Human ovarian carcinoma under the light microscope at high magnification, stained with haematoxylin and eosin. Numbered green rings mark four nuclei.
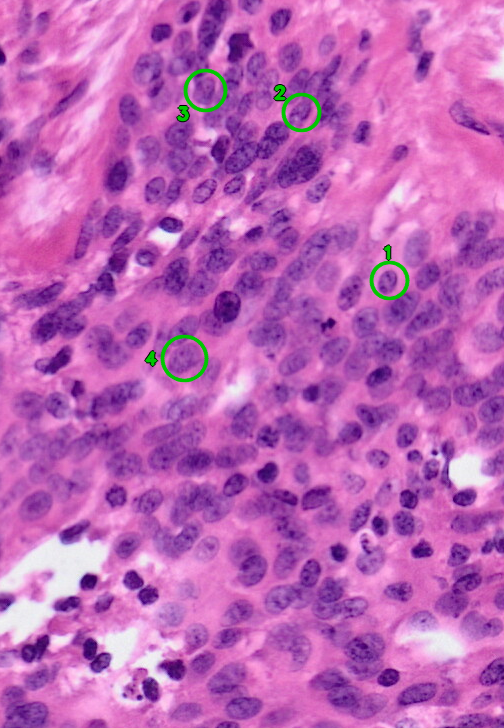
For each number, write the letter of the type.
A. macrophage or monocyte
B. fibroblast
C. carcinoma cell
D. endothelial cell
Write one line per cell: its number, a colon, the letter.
1: A
2: C
3: C
4: C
